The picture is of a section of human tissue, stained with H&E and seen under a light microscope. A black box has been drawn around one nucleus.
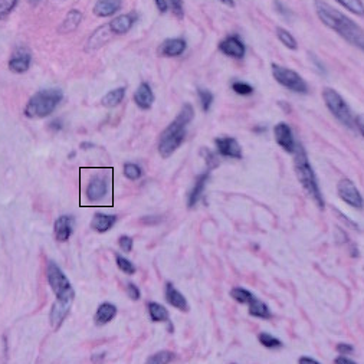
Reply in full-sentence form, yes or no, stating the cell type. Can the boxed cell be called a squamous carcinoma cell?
No, the boxed cell is a smooth muscle cell, and it is not a squamous carcinoma cell.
